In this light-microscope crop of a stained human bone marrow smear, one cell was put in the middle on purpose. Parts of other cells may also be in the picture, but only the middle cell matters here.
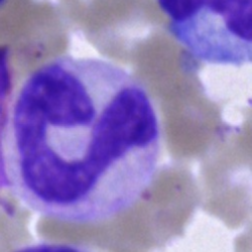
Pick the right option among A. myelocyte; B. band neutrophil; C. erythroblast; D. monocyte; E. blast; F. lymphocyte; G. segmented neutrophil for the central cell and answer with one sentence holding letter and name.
Option B is correct in that the central cell is a band neutrophil.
